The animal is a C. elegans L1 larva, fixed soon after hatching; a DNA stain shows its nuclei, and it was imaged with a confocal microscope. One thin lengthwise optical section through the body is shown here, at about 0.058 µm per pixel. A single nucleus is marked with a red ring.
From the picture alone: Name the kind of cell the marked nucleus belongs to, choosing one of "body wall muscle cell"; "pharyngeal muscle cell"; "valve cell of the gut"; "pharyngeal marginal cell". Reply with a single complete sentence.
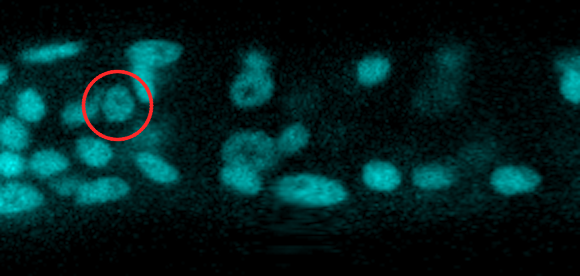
What is marked is the nucleus of a valve cell of the gut.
